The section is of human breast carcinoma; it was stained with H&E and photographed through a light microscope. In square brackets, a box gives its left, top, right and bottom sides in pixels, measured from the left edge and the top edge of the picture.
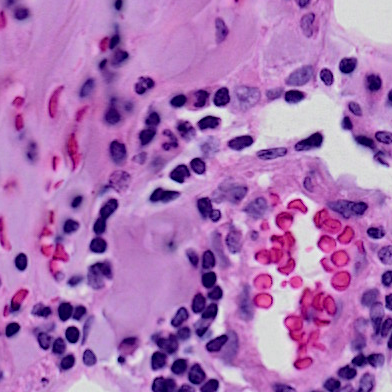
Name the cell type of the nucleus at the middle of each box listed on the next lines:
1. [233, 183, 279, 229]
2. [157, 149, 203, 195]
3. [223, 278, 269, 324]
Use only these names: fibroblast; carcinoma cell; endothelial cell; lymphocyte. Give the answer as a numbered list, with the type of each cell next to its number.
1. endothelial cell
2. lymphocyte
3. endothelial cell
